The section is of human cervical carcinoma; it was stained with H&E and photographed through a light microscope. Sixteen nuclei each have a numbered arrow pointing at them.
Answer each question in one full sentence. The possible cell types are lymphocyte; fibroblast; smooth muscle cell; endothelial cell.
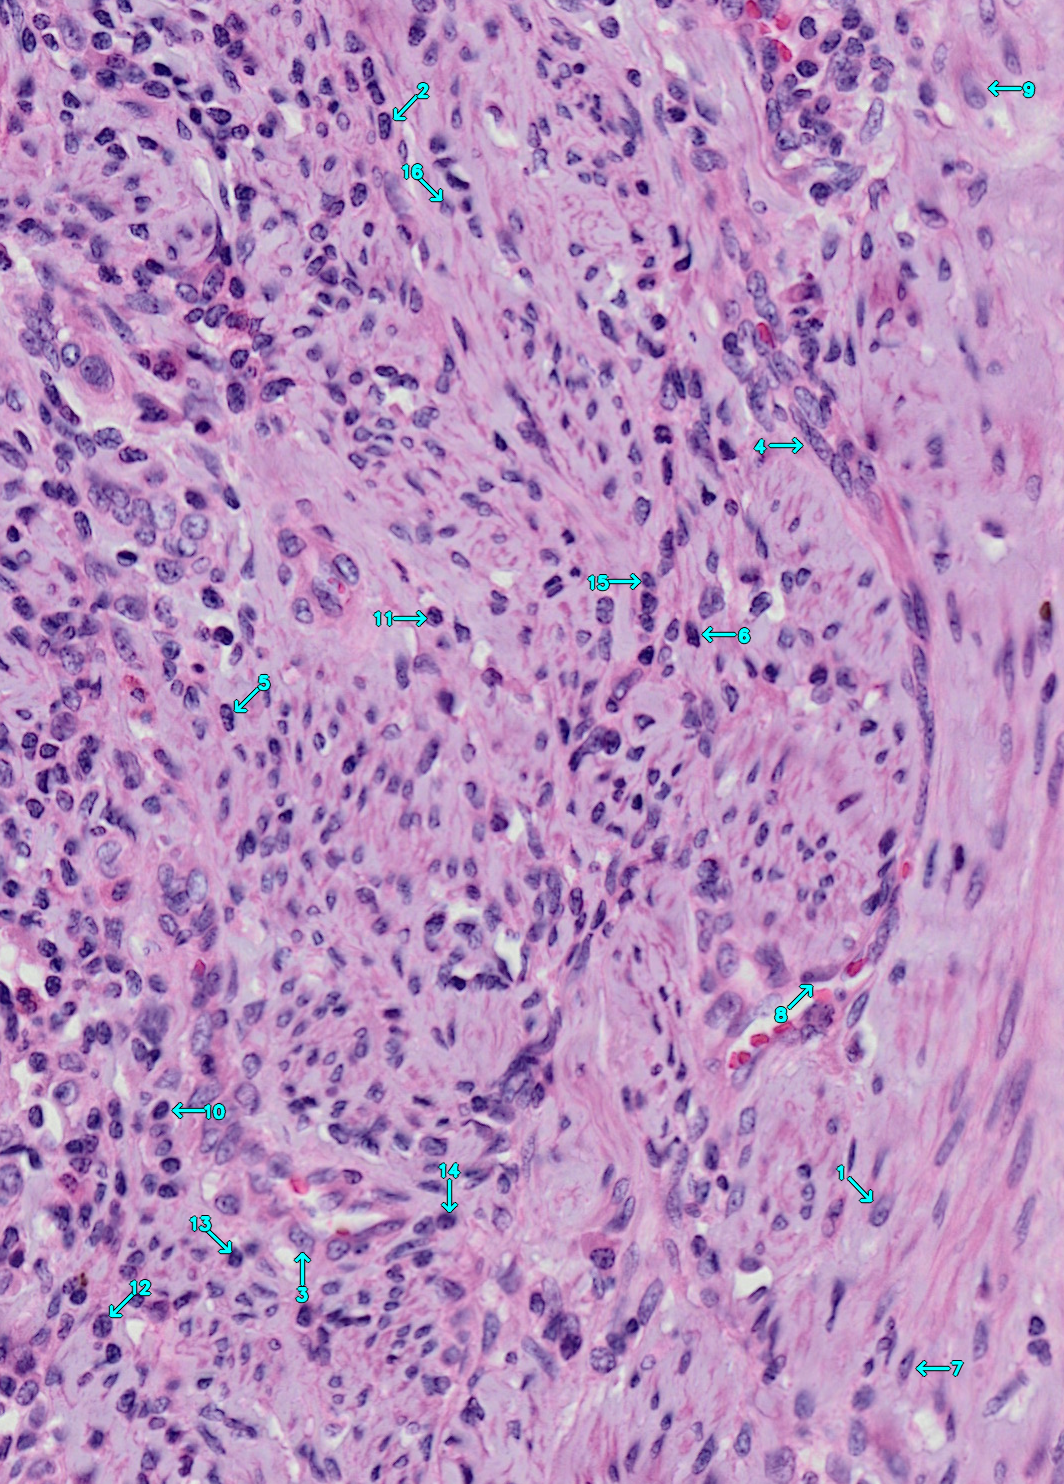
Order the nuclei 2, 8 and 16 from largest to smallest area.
The nuclei rank 8, 2, 16, from largest to smallest.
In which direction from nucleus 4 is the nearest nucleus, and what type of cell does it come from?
The nearest one is an endothelial cell, found to the right of nucleus 4.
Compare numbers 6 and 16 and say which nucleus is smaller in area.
The smaller nucleus is 16, and 6 covers roughly 2 times its area.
